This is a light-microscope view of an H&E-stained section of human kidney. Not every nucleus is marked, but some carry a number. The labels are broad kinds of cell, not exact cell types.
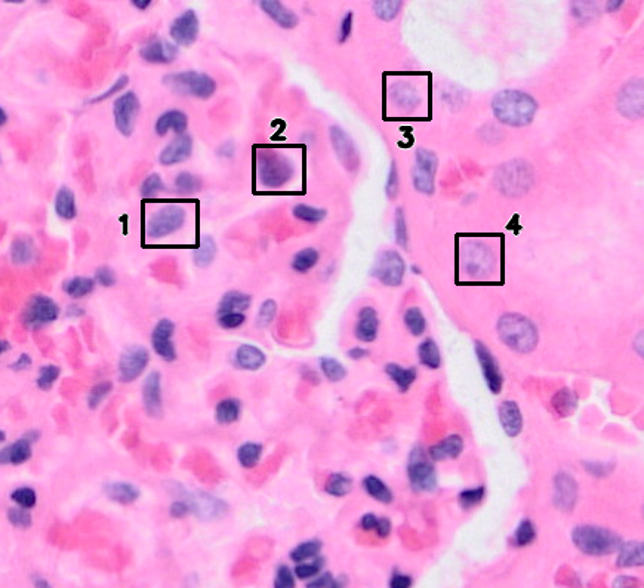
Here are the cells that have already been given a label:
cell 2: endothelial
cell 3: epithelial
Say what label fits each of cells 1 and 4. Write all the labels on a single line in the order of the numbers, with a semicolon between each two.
endothelial; epithelial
